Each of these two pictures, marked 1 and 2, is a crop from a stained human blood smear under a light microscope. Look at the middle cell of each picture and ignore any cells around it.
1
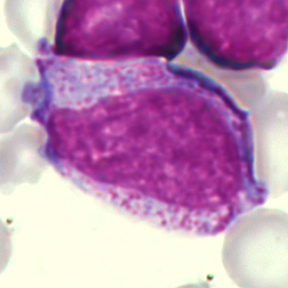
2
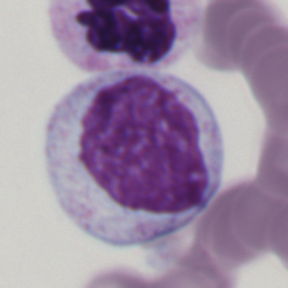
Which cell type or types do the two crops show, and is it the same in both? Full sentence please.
No, sorry, crop 1 shows a promyelocyte and crop 2 shows a myelocyte.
